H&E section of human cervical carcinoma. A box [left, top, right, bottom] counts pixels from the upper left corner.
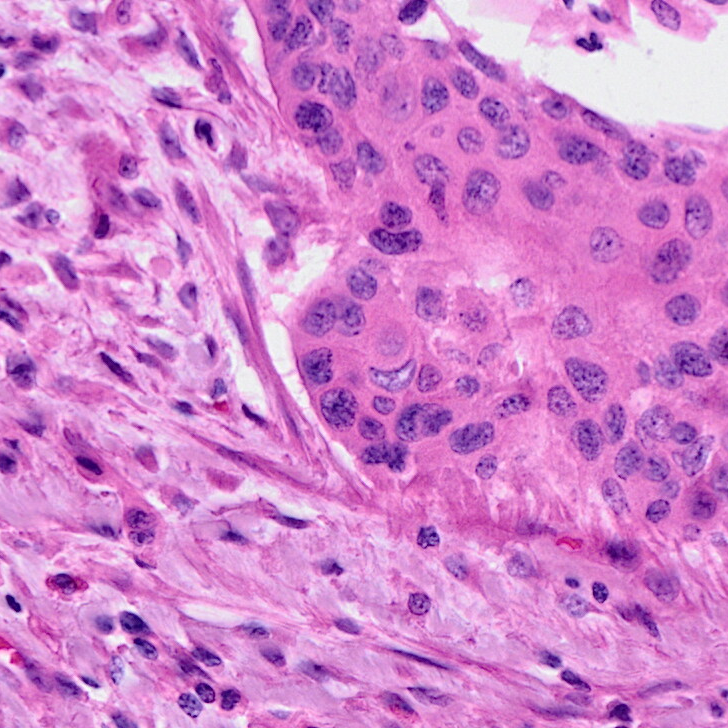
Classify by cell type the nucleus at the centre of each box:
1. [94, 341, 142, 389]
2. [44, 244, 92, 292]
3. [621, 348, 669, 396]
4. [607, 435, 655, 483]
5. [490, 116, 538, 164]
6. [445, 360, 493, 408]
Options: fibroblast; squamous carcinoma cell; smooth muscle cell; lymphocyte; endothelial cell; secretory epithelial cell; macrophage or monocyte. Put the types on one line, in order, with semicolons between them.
fibroblast; fibroblast; squamous carcinoma cell; squamous carcinoma cell; squamous carcinoma cell; squamous carcinoma cell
